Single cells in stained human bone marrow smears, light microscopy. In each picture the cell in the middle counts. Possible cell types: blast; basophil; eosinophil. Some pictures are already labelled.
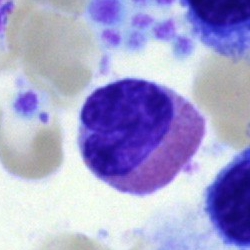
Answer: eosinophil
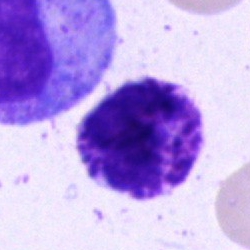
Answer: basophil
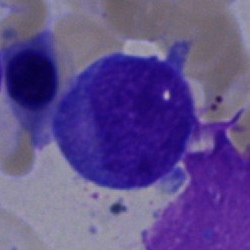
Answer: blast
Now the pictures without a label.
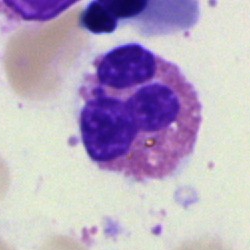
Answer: eosinophil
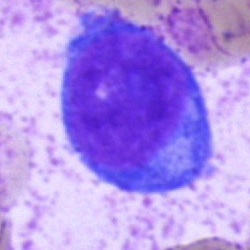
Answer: blast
